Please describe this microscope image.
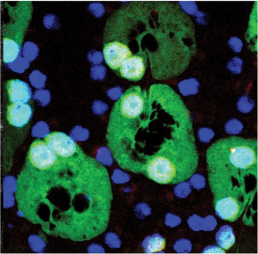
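This is accessory gland epithelium in which large green secondary cells stand out among many small blue nuclei of the neighbouring cells. Each secondary cell is rounded and much bigger than its neighbours, its cytoplasm interrupted by several large dark vacuoles, and its nuclei appear pale cyan where the colours overlap.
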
